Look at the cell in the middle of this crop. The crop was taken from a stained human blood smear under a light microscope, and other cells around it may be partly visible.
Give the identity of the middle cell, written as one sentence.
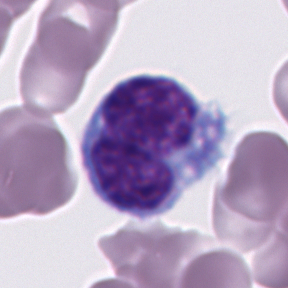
The center cell of this crop is a monocyte.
